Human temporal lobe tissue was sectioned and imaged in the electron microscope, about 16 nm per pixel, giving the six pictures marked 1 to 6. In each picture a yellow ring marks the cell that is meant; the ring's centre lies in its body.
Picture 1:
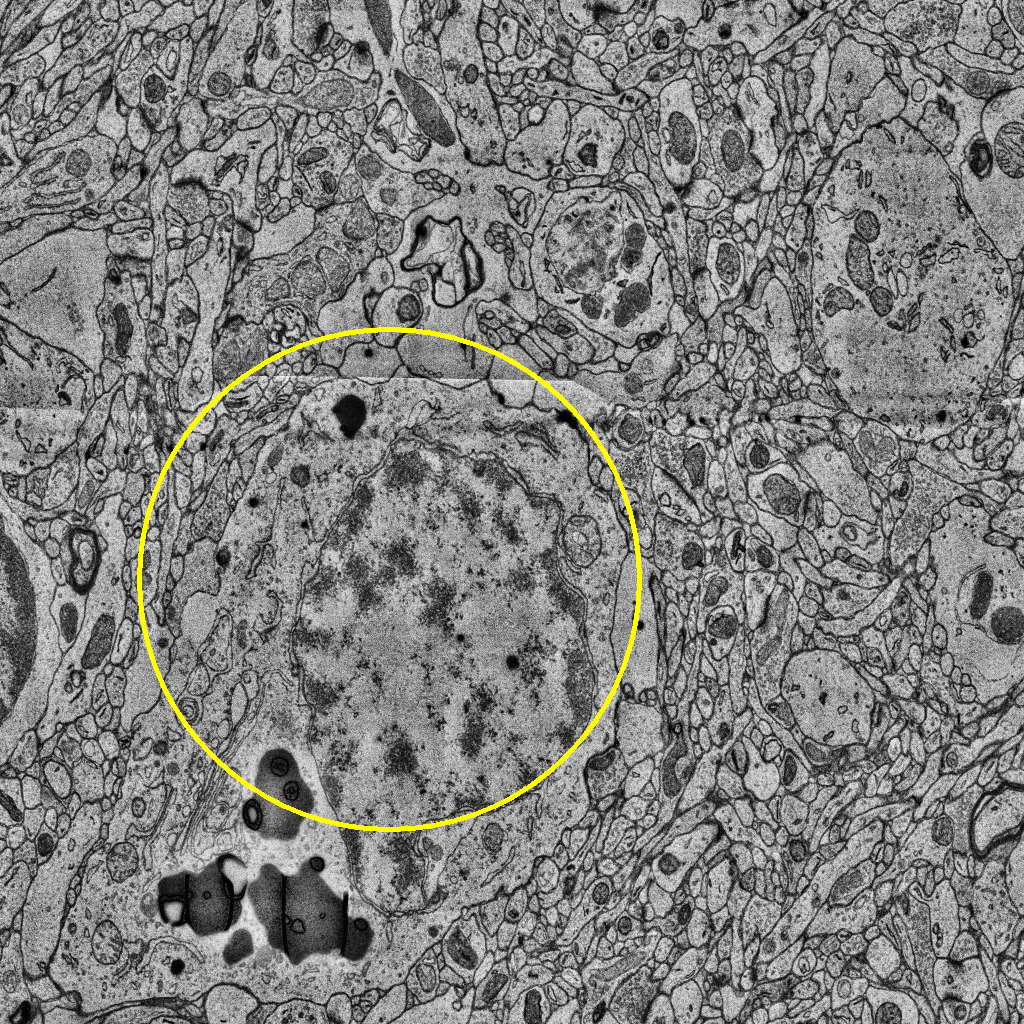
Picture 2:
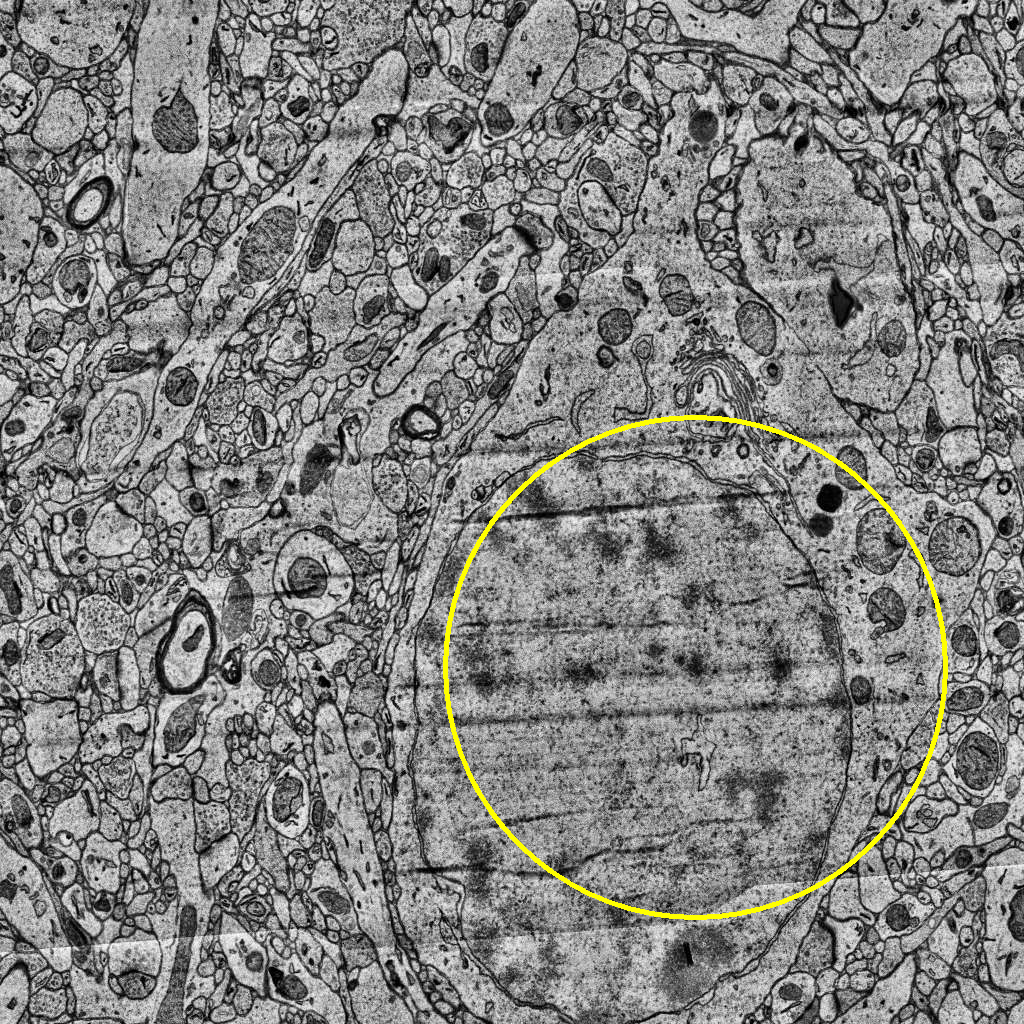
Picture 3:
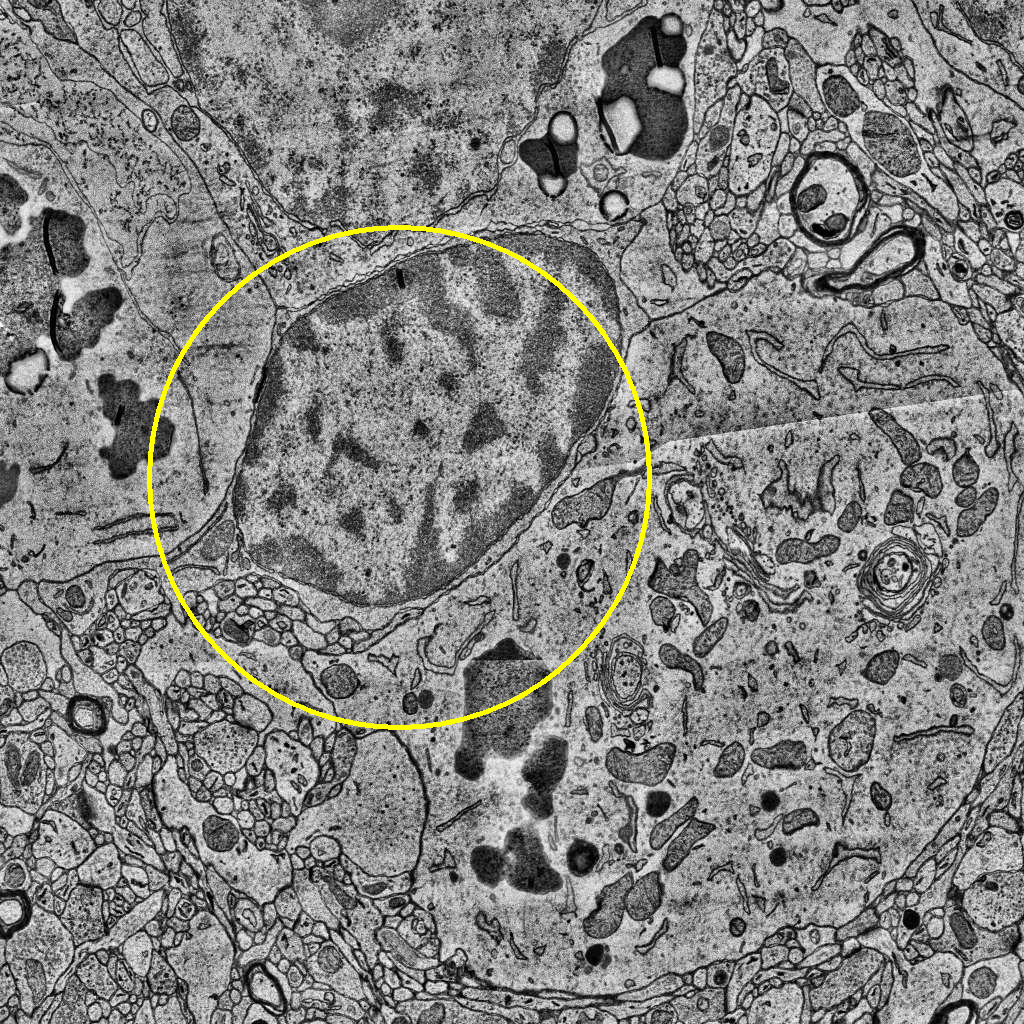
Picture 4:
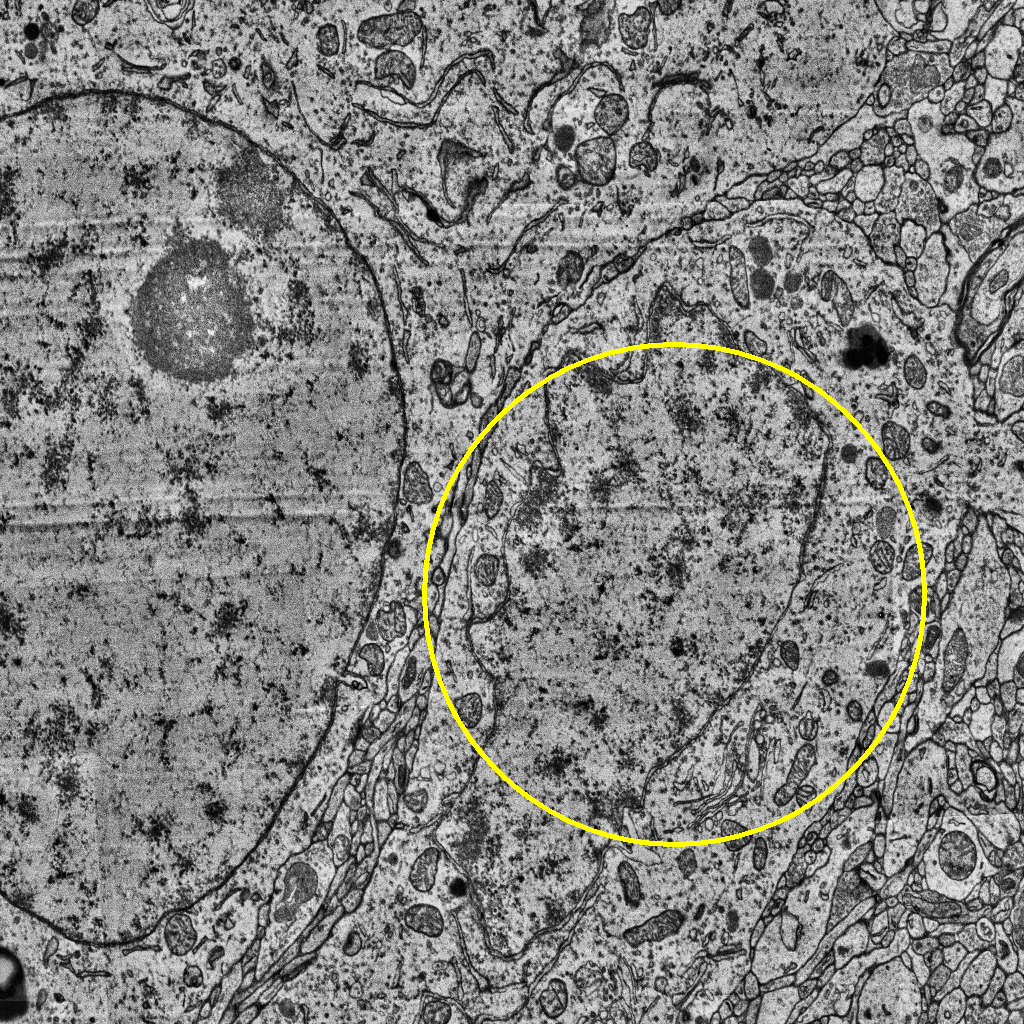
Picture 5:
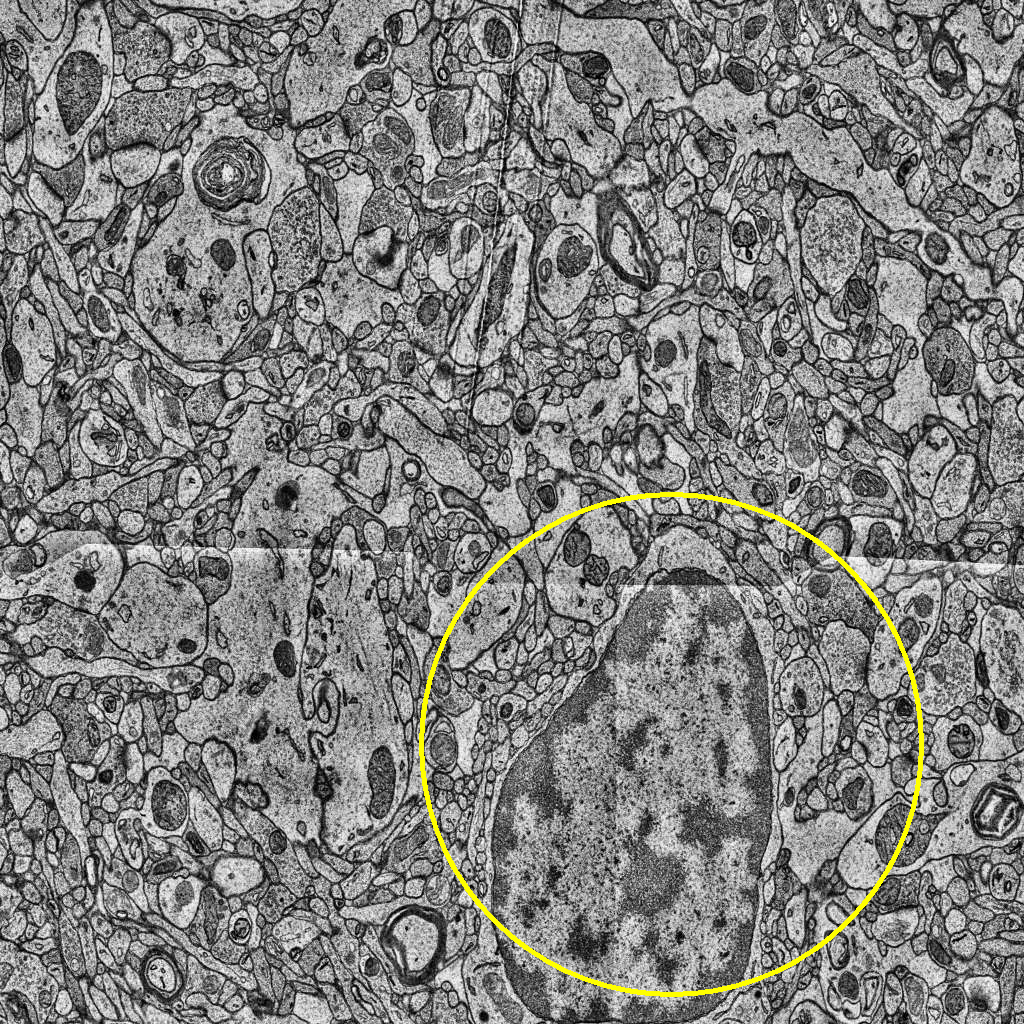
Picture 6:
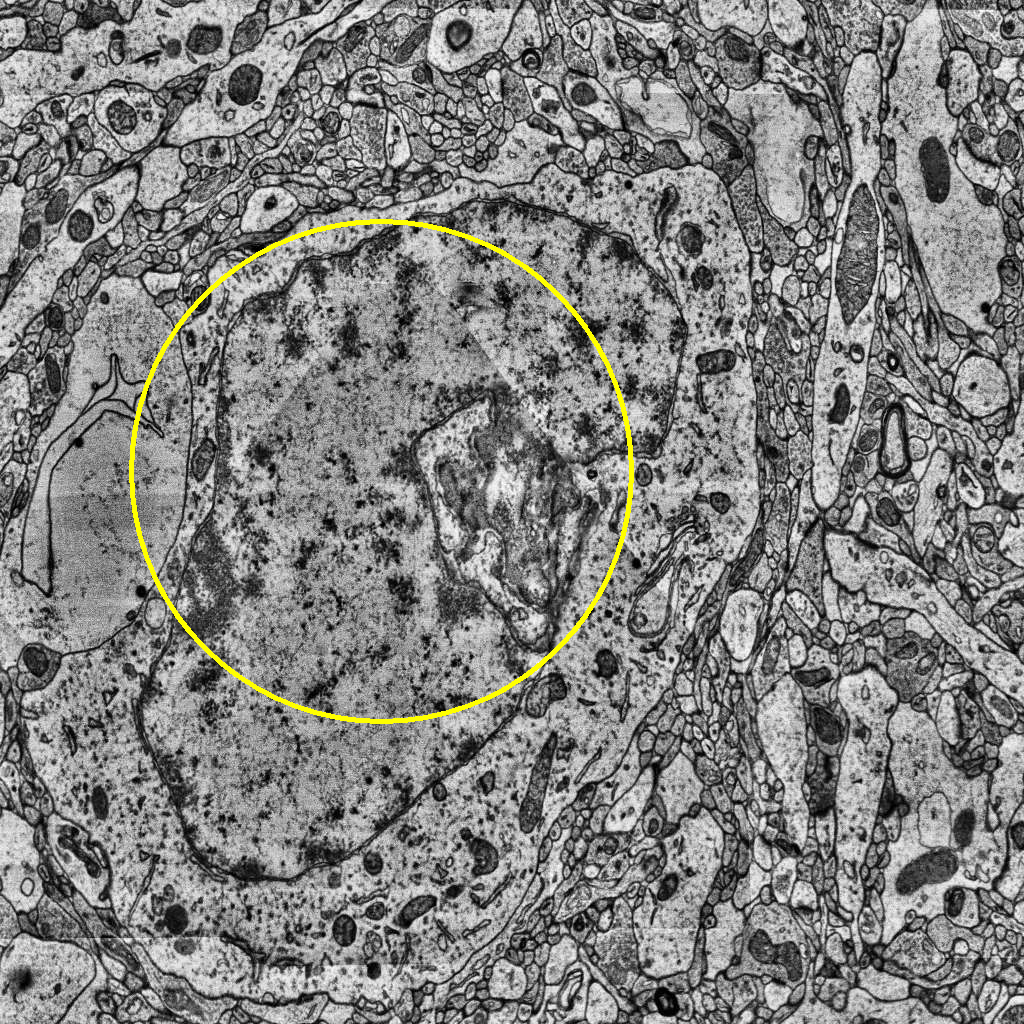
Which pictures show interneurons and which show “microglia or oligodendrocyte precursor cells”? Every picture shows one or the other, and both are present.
Pictures 1, 2, 4 and 6 show interneurons, while pictures 3 and 5 show “microglia or oligodendrocyte precursor cells”.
